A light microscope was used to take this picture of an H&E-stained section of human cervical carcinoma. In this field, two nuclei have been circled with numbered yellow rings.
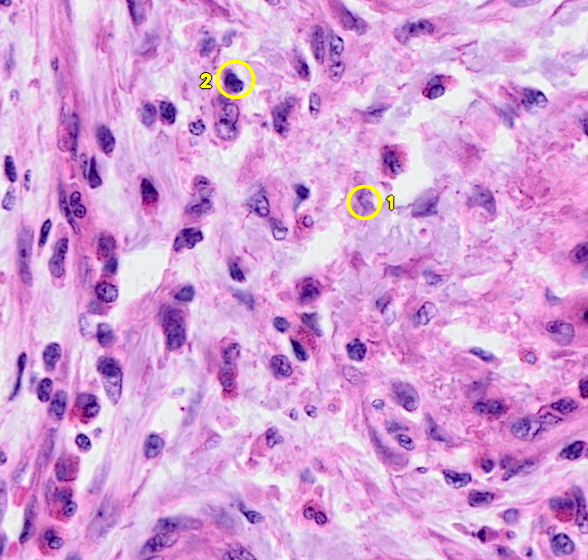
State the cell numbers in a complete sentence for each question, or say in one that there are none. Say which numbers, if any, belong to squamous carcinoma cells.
Across the numbered cells, there are no squamous carcinoma cells.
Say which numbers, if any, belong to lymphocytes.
Response: cell 2 is a lymphocyte, and no other numbered cell is.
